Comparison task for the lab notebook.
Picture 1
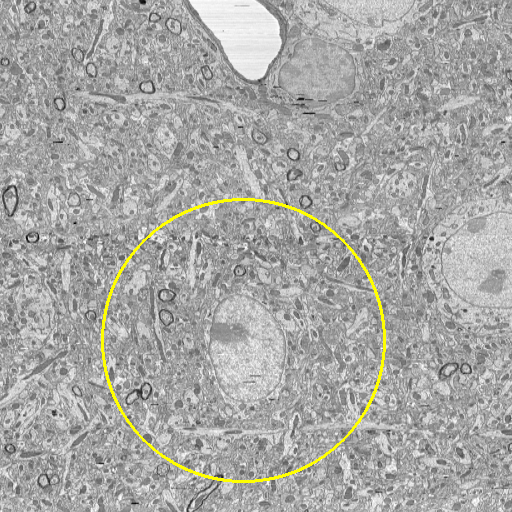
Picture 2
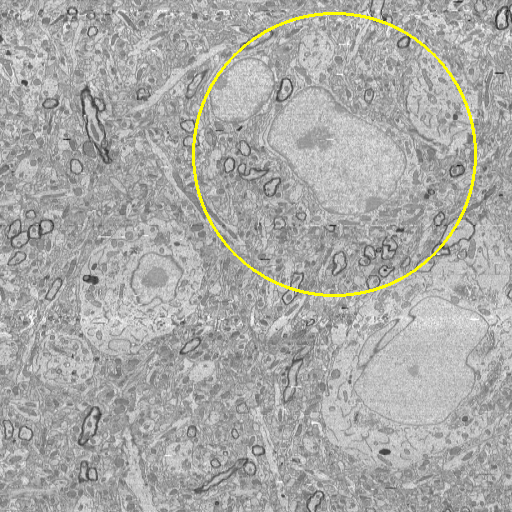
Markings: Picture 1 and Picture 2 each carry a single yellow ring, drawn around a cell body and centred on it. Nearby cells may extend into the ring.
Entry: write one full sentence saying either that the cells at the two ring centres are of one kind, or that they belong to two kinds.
The cells sitting at the ring centres in Picture 1 and Picture 2 are of one kind.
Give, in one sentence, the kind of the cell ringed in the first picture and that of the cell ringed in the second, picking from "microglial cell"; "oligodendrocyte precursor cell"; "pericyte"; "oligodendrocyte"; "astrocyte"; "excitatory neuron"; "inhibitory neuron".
Each of the two rings surrounds an astrocyte.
